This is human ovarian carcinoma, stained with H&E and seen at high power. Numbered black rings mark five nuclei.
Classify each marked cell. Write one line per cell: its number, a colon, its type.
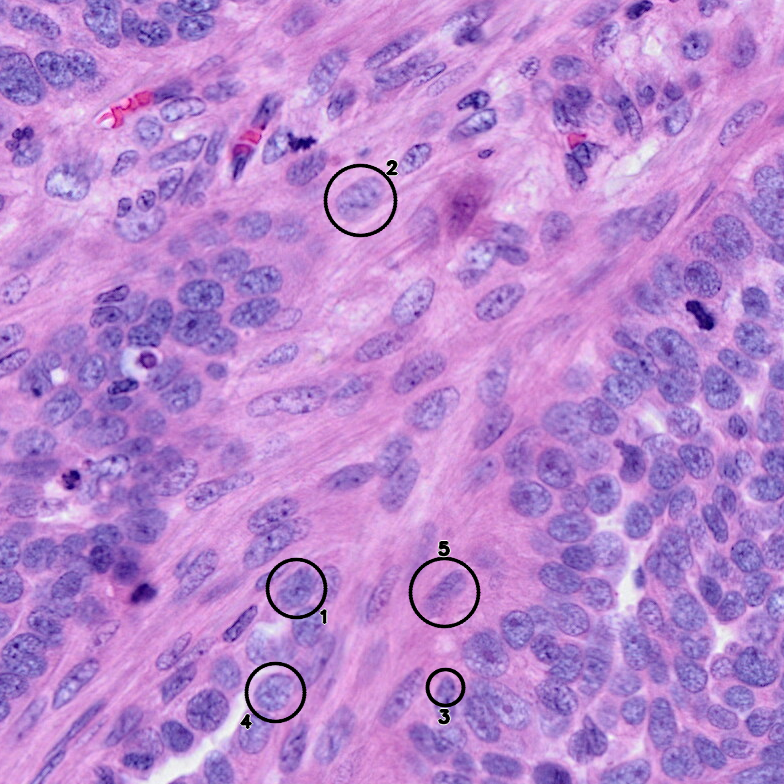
1: carcinoma cell
2: fibroblast
3: macrophage or monocyte
4: carcinoma cell
5: fibroblast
